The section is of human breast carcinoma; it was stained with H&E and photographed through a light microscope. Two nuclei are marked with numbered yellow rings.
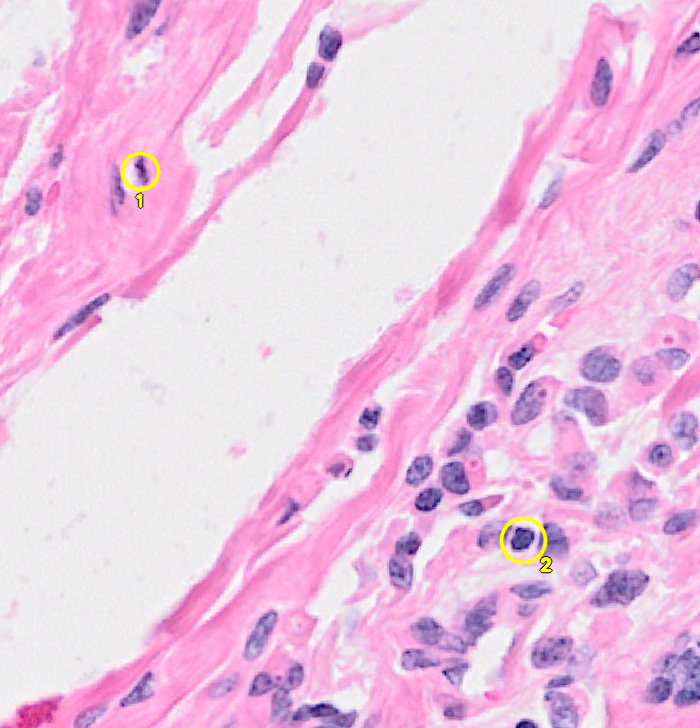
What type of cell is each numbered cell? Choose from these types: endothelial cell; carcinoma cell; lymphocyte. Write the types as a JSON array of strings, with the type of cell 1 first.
["endothelial cell", "lymphocyte"]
